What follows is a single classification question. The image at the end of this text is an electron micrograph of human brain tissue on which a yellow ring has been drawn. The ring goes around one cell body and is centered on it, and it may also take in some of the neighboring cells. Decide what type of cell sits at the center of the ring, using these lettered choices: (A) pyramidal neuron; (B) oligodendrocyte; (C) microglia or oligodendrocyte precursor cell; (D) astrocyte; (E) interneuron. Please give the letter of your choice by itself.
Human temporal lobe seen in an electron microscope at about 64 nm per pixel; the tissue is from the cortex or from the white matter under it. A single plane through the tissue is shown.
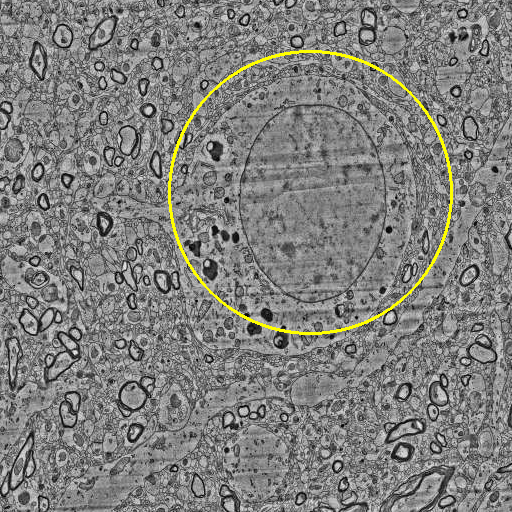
A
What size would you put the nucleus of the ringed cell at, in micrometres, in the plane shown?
In this plane the nucleus spans approximately 13 by 9 micrometers.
